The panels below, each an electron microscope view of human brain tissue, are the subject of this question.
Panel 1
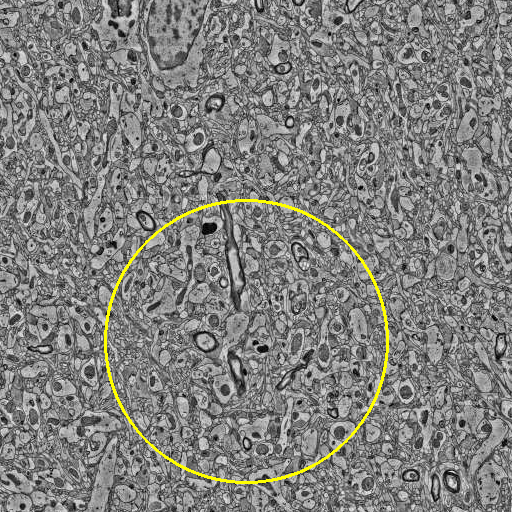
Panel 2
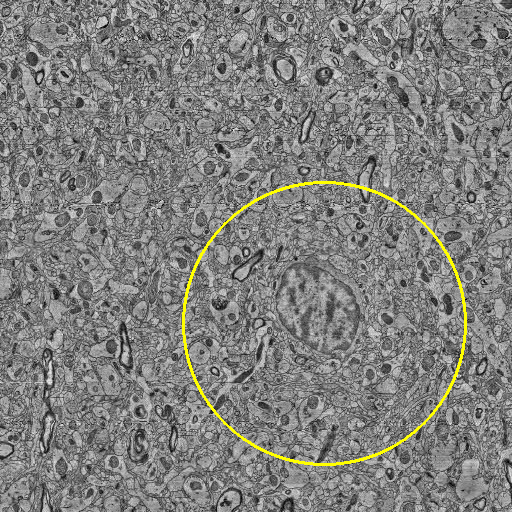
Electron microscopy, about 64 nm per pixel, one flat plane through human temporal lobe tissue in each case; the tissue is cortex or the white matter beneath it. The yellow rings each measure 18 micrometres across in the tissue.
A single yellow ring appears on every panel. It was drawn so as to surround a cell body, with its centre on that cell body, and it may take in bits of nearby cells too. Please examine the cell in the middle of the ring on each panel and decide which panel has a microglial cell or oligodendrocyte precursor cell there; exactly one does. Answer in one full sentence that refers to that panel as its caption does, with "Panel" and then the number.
Panel 1 is where the ring's central cell answers the question.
